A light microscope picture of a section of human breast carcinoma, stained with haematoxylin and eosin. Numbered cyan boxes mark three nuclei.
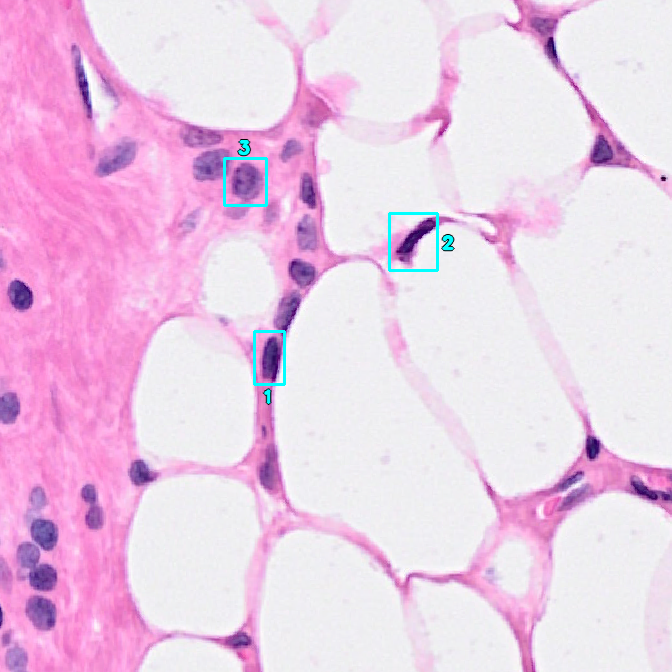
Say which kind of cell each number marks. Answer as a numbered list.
1. endothelial cell
2. endothelial cell
3. carcinoma cell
